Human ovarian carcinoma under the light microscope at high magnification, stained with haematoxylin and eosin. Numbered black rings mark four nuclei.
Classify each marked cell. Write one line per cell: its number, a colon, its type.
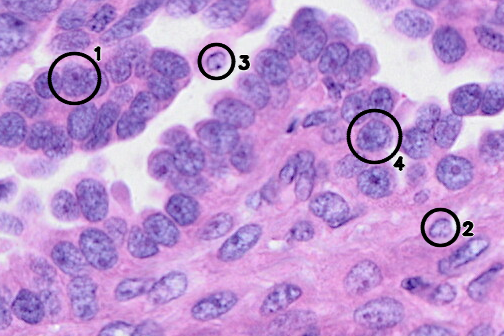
1: carcinoma cell
2: fibroblast
3: macrophage or monocyte
4: carcinoma cell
